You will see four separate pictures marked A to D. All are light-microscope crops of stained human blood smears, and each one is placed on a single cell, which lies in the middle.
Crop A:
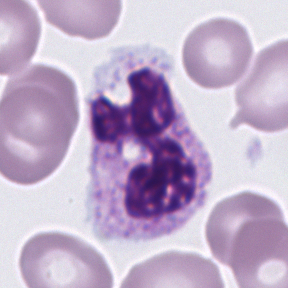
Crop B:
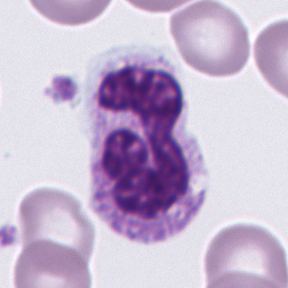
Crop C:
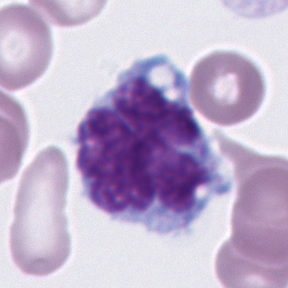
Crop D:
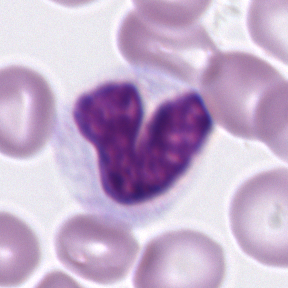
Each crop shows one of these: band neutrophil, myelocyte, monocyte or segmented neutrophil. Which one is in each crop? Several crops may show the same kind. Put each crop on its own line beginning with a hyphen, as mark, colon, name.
- A: segmented neutrophil
- B: segmented neutrophil
- C: monocyte
- D: band neutrophil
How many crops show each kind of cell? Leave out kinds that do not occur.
segmented neutrophil: 2
monocyte: 1
band neutrophil: 1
